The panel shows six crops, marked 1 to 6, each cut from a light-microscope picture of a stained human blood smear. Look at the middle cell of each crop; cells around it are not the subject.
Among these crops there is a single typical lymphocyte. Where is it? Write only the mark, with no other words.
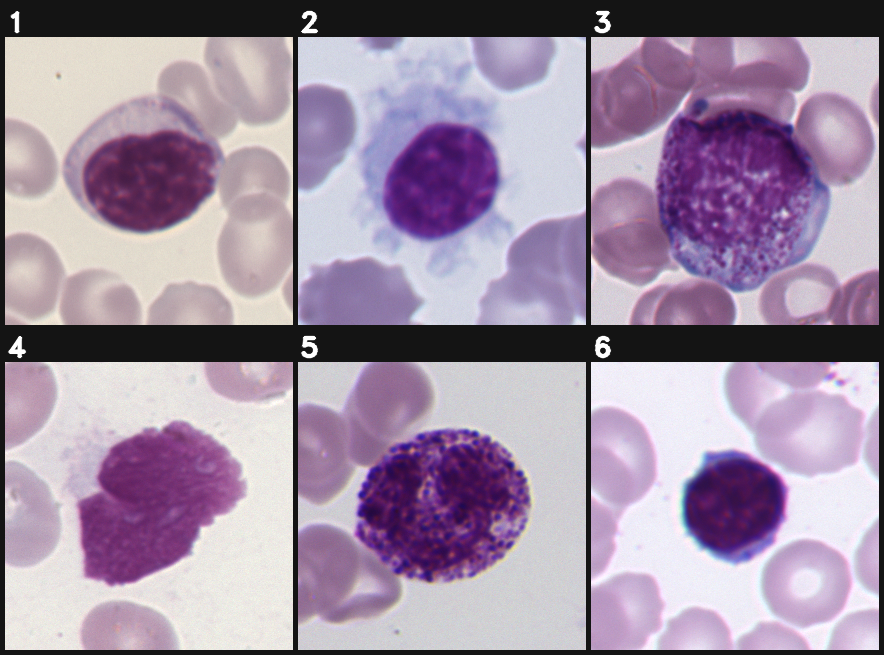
6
